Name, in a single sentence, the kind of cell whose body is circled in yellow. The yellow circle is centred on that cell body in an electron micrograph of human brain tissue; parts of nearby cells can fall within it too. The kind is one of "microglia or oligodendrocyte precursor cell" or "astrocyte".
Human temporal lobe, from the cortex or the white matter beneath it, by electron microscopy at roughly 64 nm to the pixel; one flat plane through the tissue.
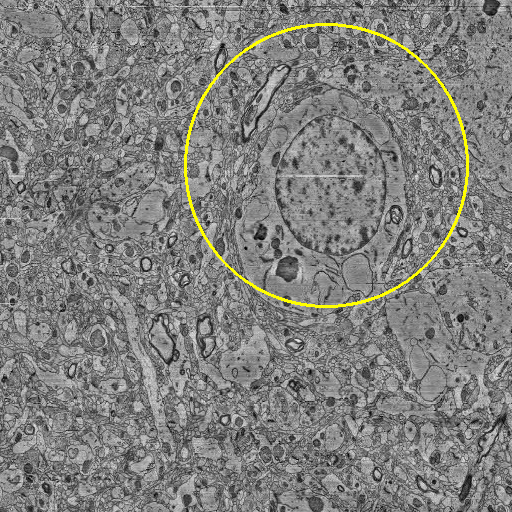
The circled cell body belongs to an astrocyte.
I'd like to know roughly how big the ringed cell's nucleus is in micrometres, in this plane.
Approximately 9 x 7 micrometres in this plane.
